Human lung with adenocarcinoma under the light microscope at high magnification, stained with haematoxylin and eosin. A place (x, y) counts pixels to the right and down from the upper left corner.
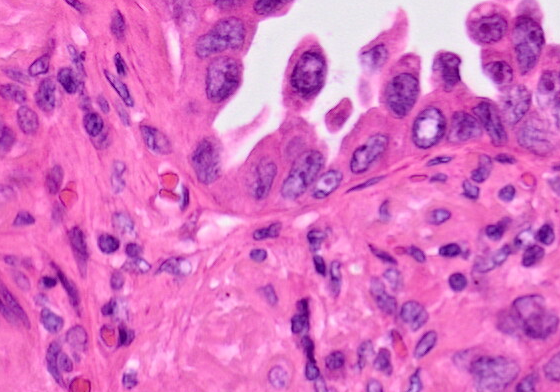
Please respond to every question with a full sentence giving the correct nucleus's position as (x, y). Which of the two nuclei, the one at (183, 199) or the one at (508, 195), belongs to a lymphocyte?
Here the nucleus at (508, 195) is the one that belongs to a lymphocyte.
